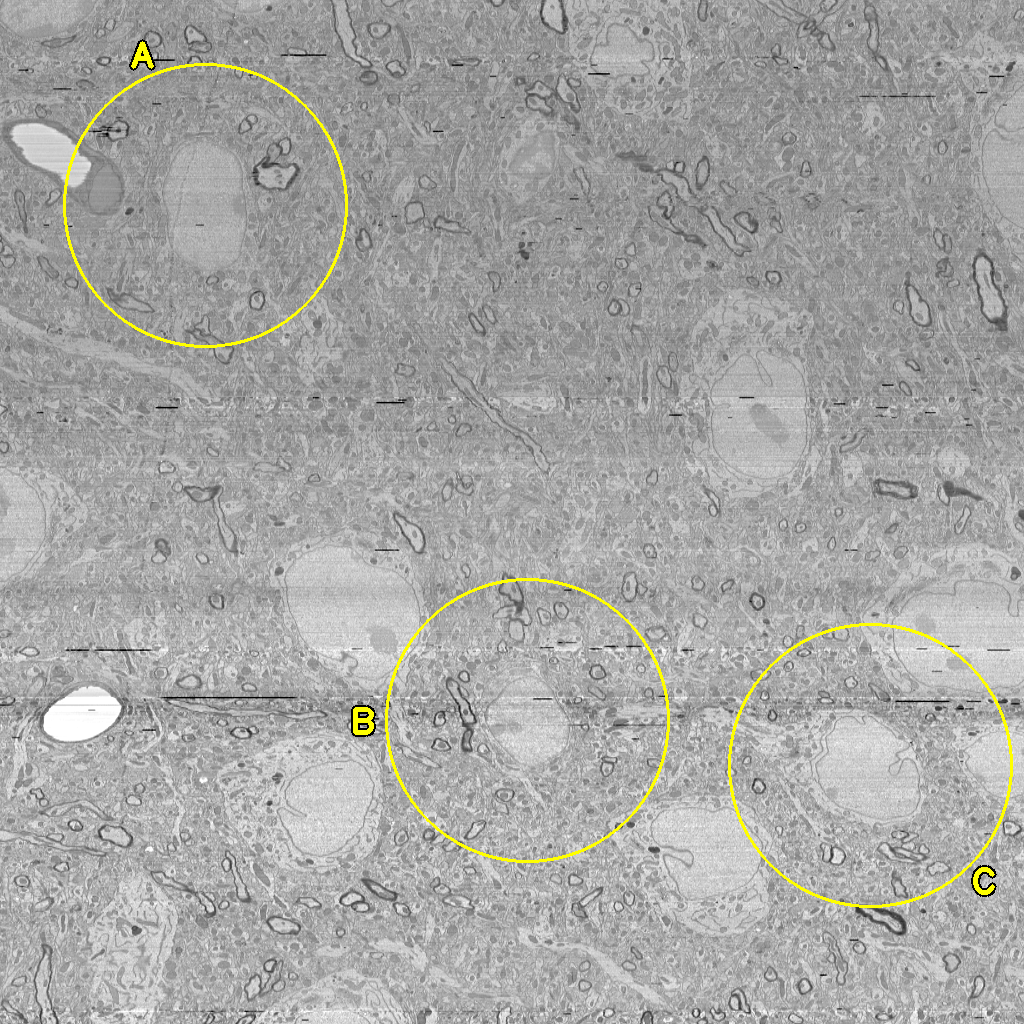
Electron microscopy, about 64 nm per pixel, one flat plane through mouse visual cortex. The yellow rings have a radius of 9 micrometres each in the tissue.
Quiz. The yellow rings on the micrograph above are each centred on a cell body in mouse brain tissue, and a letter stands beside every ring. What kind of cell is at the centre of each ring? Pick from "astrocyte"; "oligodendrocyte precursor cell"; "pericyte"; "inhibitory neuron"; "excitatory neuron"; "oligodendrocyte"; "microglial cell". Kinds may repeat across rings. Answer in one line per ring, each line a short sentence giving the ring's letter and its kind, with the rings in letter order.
The ring labelled A has an astrocyte at its centre.
The ring labelled B has an astrocyte at its centre.
The ring labelled C has an excitatory neuron at its centre.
